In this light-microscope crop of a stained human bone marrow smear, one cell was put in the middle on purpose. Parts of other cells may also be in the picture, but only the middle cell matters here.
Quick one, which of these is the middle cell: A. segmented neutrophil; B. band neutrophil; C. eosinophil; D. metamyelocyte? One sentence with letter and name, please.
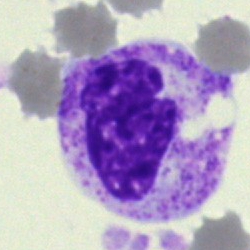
It is a metamyelocyte that occupies the centre of the crop, so option D is correct.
